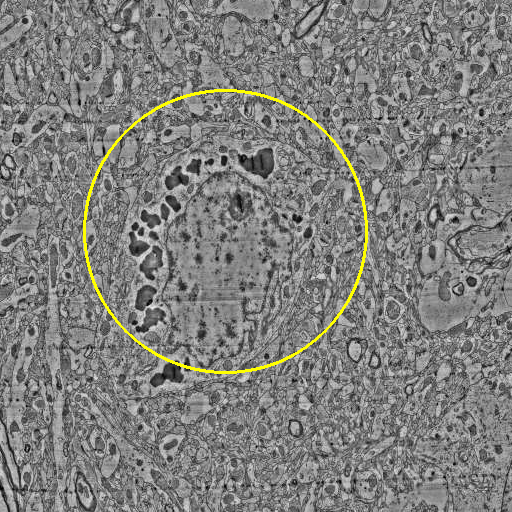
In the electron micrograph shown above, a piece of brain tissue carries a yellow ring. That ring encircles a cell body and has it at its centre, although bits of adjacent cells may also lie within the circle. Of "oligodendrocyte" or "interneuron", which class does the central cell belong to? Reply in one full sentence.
The cell body at the centre of the yellow ring belongs to an interneuron.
